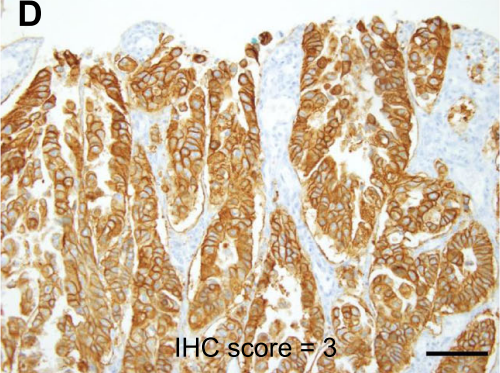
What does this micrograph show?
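Deep brown stain outlines the borders of the tumor cells and fills much of them, so the glands stand out sharply. Between the glands lies pale bluish stroma that is not stained brown. Some glands open into small spaces containing loose material.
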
